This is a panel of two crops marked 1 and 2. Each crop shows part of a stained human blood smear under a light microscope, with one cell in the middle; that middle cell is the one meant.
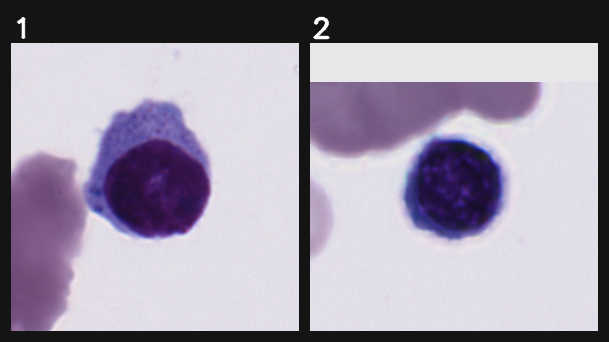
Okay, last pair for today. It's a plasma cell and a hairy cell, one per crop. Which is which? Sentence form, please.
The one in crop 1 is a hairy cell, and the one in crop 2 is a plasma cell.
